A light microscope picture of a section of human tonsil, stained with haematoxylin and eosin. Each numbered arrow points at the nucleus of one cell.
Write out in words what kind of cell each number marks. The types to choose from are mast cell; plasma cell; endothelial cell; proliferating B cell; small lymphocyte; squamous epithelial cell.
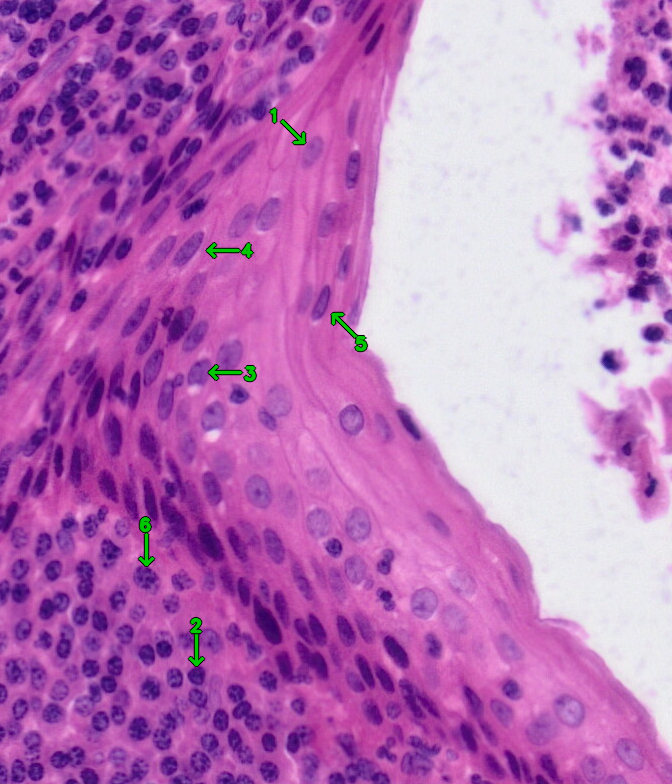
Cell 1 is a squamous epithelial cell, cell 2 is a plasma cell, cell 3 is a squamous epithelial cell, cell 4 is a squamous epithelial cell, cell 5 is a squamous epithelial cell and cell 6 is a plasma cell.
